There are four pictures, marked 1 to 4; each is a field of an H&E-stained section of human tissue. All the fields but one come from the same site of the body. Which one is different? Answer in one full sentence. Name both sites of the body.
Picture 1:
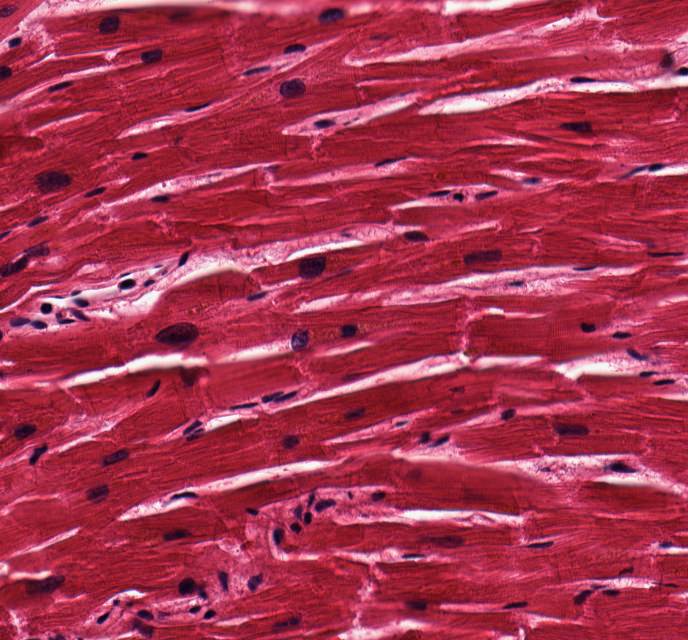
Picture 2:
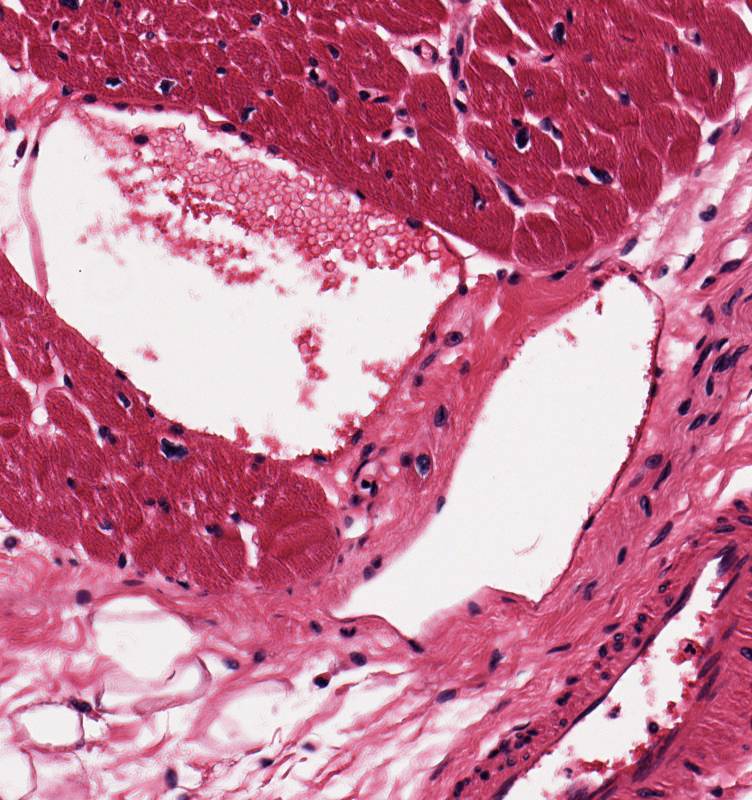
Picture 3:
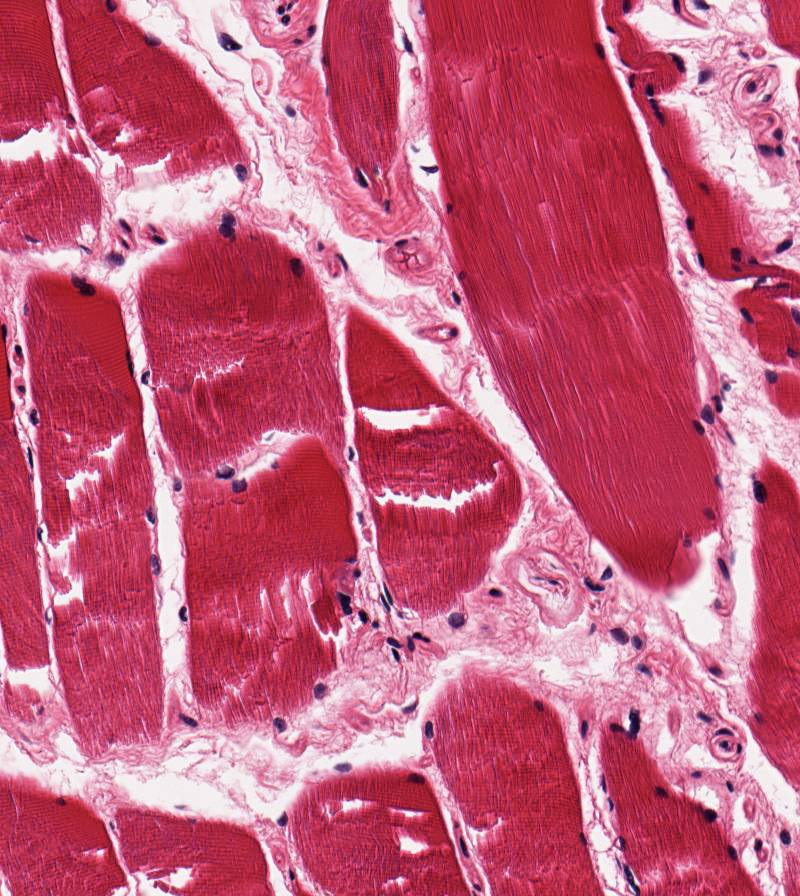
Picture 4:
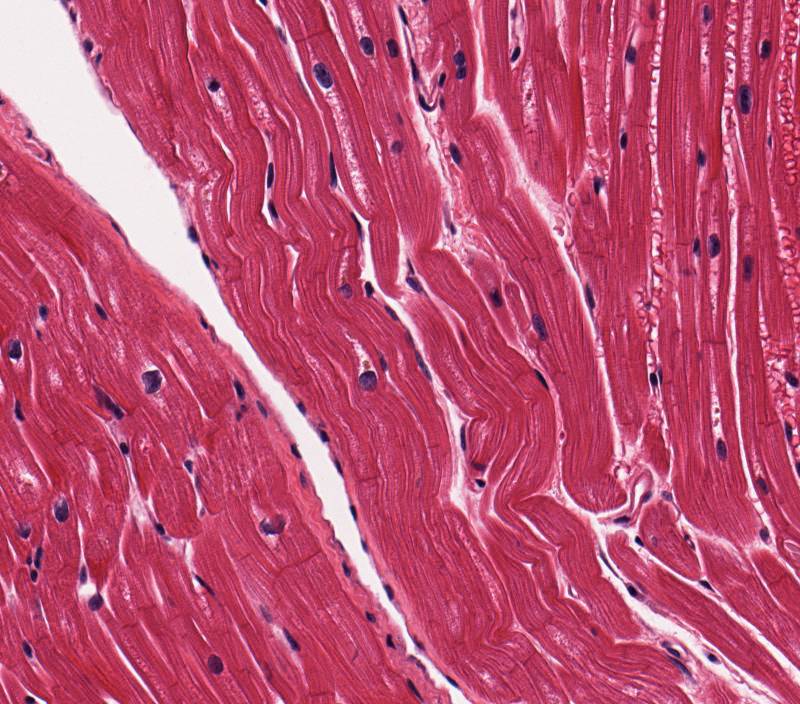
The others come from the left ventricle of the heart, but picture 3 comes from skeletal muscle.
